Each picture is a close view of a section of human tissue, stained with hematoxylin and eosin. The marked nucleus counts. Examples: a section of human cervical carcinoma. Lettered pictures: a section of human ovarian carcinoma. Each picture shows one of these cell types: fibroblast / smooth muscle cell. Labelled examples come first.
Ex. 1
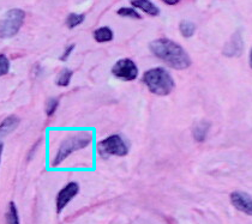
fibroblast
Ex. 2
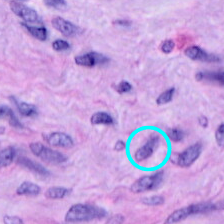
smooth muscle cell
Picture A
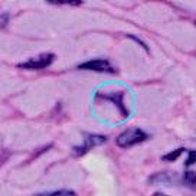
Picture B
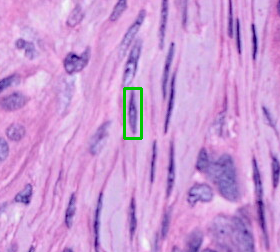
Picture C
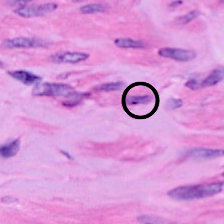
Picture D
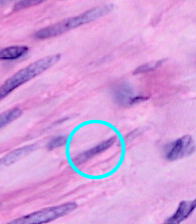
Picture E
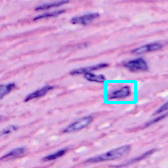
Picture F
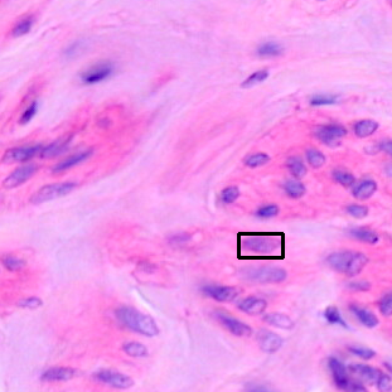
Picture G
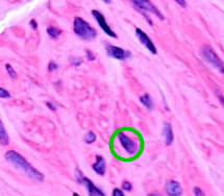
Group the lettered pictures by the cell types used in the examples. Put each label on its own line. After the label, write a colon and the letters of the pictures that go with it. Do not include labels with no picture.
fibroblast: A, B, E
smooth muscle cell: C, D, F, G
